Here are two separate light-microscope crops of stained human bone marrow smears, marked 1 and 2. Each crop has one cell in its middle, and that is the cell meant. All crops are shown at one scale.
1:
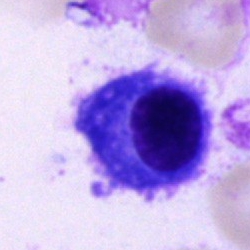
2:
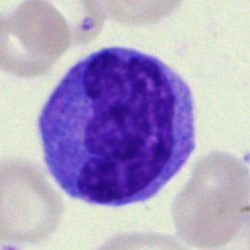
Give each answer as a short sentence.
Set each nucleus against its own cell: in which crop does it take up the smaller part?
Of the two, the nucleus in crop 1 leaves more room for cytoplasm.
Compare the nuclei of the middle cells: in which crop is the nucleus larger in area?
The nucleus in crop 2 is larger, with about 2.5 times the area of the one in crop 1.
